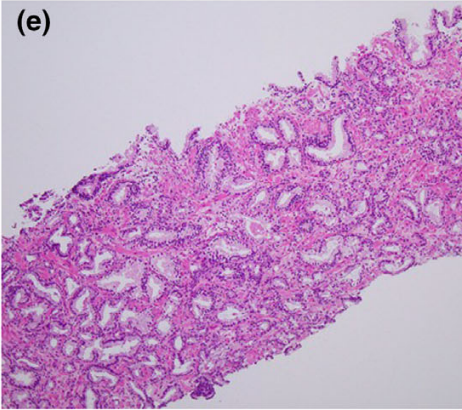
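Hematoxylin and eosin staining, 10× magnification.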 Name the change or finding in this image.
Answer: Prostate adenocarcinoma.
